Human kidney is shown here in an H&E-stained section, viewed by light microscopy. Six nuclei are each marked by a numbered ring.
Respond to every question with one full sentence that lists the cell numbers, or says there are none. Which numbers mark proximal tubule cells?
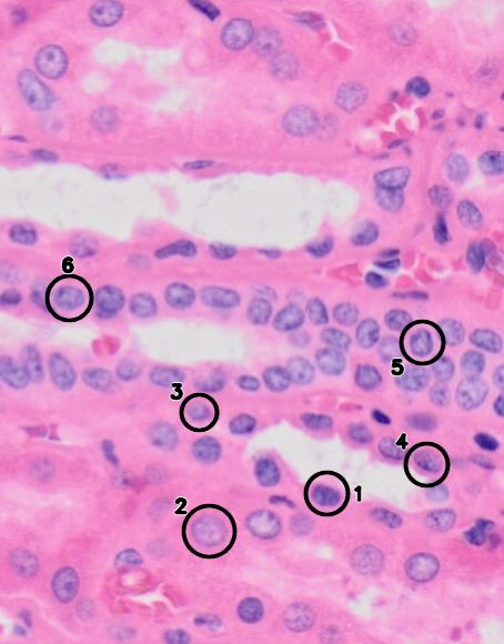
Exactly one of the numbered cells is a proximal tubule cell, namely cell 2.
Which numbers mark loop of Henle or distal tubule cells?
The cells labelled 1, 3 and 4 in this section are loop of Henle or distal tubule cells.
